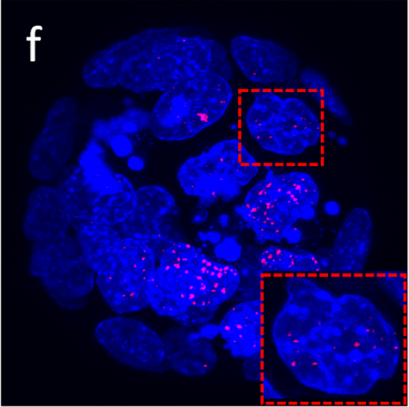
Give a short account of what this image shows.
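The nuclei have a mottled, granular interior texture and vary in size, with some small rounded blue fragments lying between them. Many nuclei contain small bright red to magenta dots, numerous in several nuclei and clustered in the lower central part. A boxed nucleus, enlarged in an inset at the lower right, shows a lobed blue outline with scattered red dots within it.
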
